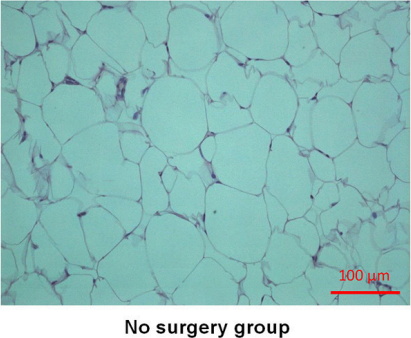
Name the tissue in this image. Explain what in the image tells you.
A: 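White adipose tissue. Tissue made almost entirely of large, closely packed, polygonal cells that look empty. Few small dark nuclei pressed into the cell rims.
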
